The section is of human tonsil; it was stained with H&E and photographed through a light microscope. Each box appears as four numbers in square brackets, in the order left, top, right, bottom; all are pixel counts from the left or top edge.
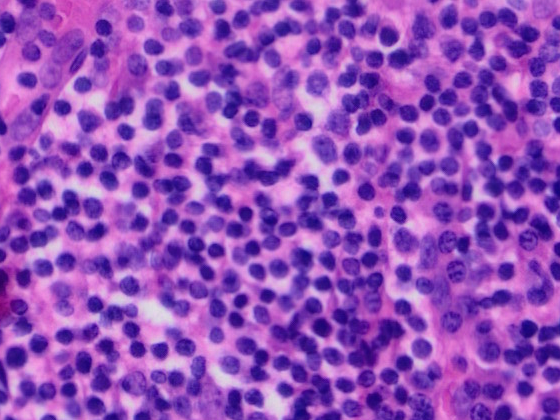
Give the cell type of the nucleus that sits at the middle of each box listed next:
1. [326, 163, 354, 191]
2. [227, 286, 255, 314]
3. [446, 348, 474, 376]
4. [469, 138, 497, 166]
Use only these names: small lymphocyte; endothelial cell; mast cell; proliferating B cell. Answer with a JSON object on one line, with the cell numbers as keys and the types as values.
{"1": "small lymphocyte", "2": "small lymphocyte", "3": "endothelial cell", "4": "small lymphocyte"}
